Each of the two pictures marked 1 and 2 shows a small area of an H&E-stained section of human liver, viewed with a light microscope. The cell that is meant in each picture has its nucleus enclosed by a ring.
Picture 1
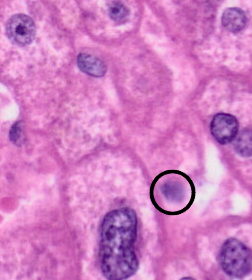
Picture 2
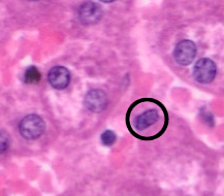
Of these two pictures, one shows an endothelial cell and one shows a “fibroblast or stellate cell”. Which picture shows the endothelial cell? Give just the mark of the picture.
1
